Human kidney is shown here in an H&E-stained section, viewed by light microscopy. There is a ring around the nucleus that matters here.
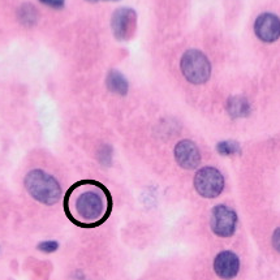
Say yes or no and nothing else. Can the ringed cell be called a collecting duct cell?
no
